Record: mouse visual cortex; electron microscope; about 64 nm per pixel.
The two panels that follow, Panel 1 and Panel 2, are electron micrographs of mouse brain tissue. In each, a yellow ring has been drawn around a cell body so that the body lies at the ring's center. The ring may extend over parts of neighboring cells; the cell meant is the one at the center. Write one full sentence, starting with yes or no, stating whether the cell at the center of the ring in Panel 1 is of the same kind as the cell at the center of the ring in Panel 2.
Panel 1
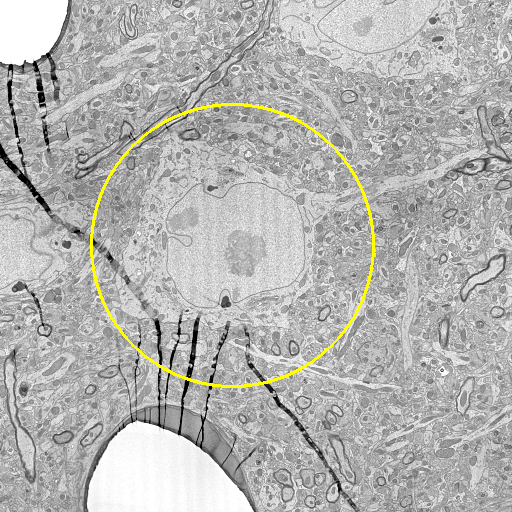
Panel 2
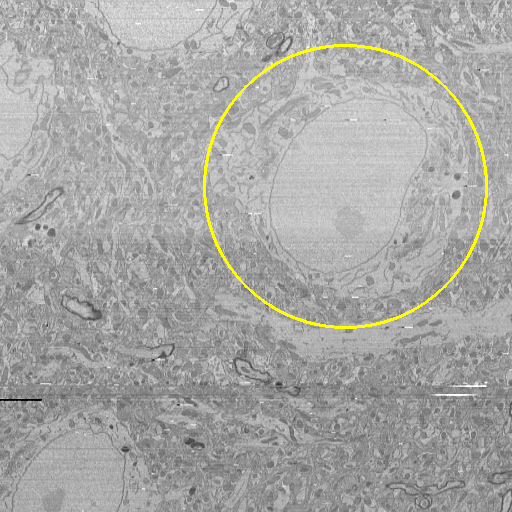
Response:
Yes, the cells in both panels are of the same kind.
